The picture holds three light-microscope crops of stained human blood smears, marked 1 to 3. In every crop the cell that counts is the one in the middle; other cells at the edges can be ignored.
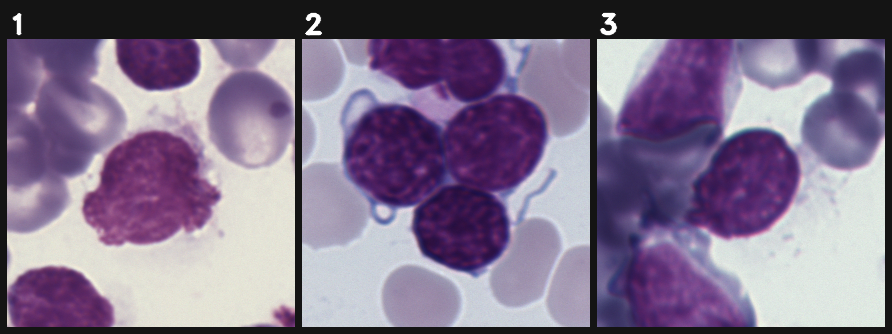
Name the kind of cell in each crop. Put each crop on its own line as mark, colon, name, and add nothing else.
1: smudge cell
2: myeloblast
3: myeloblast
